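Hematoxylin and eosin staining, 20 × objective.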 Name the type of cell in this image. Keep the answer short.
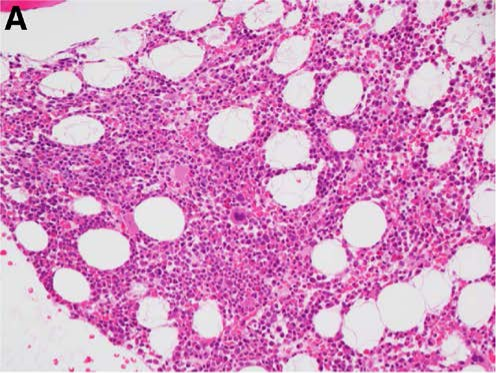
Neoplastic plasma cells.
